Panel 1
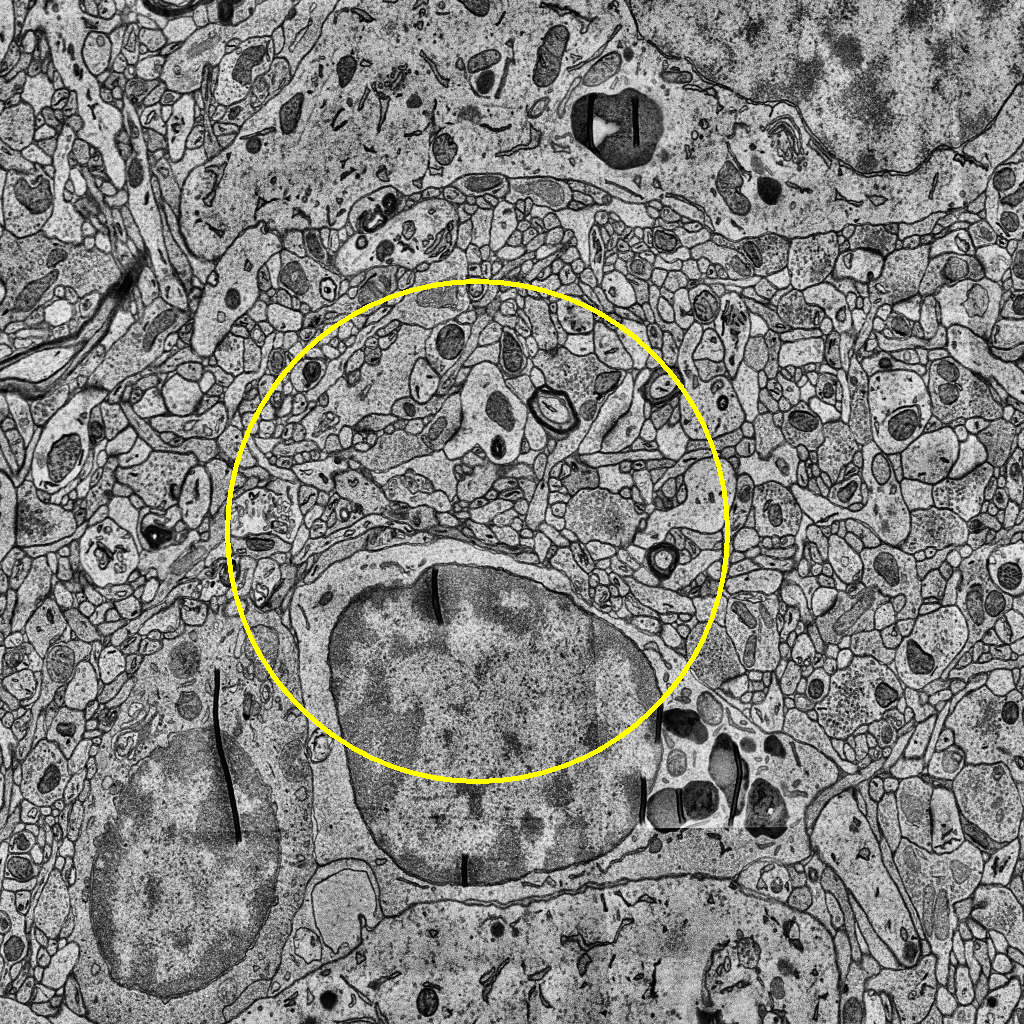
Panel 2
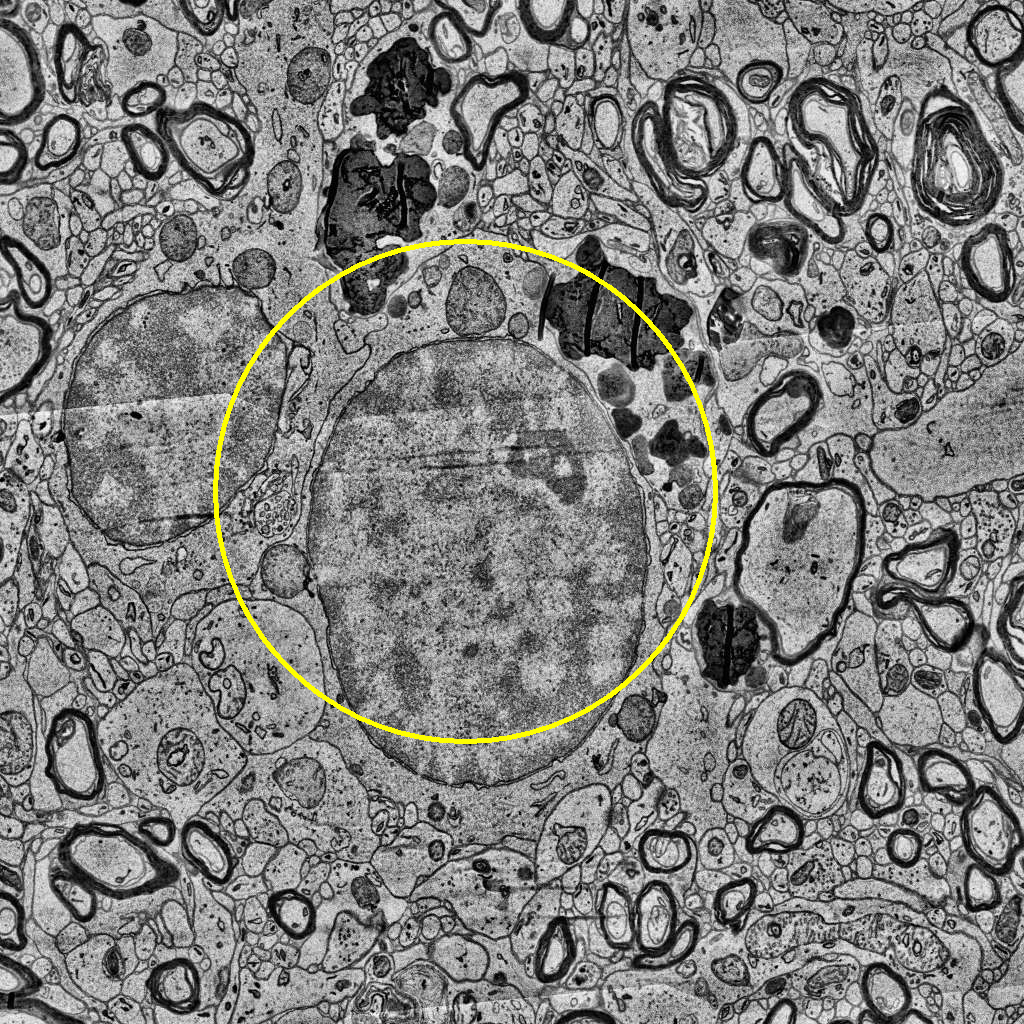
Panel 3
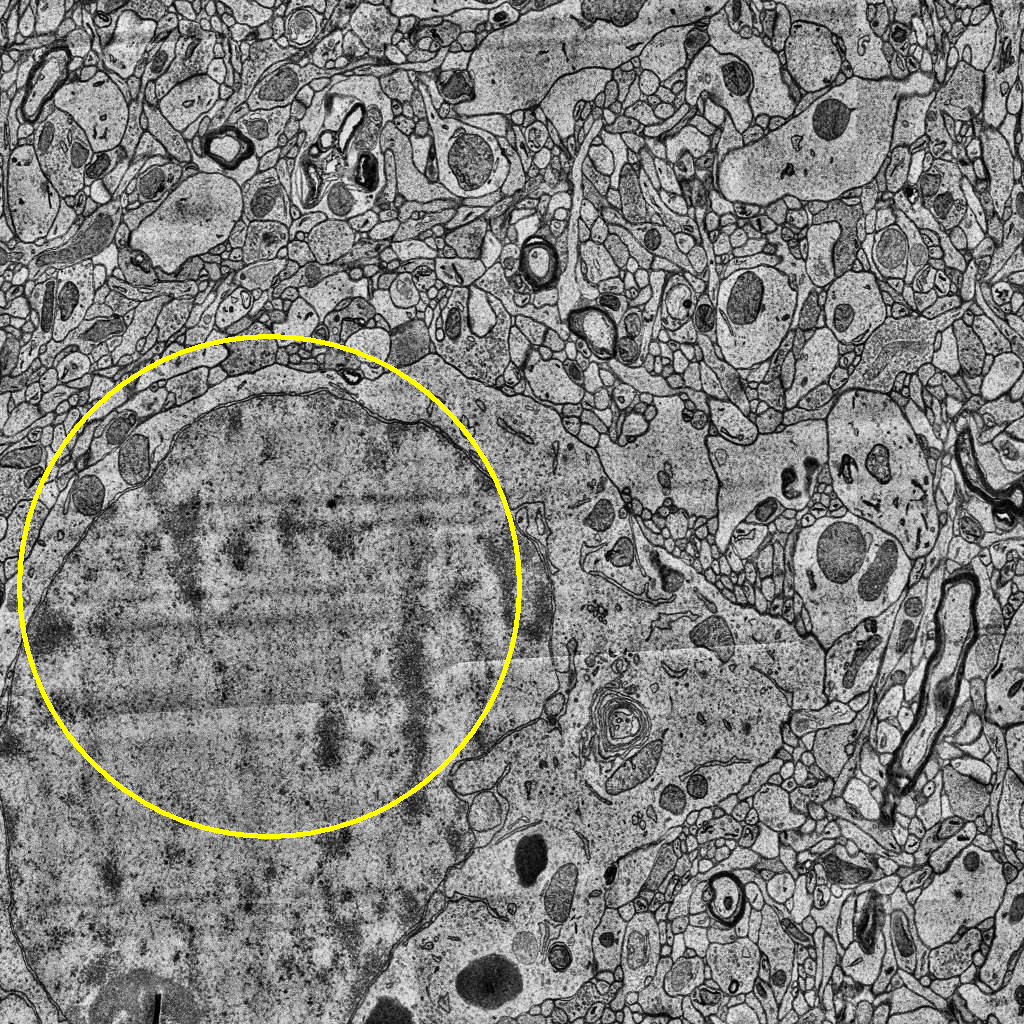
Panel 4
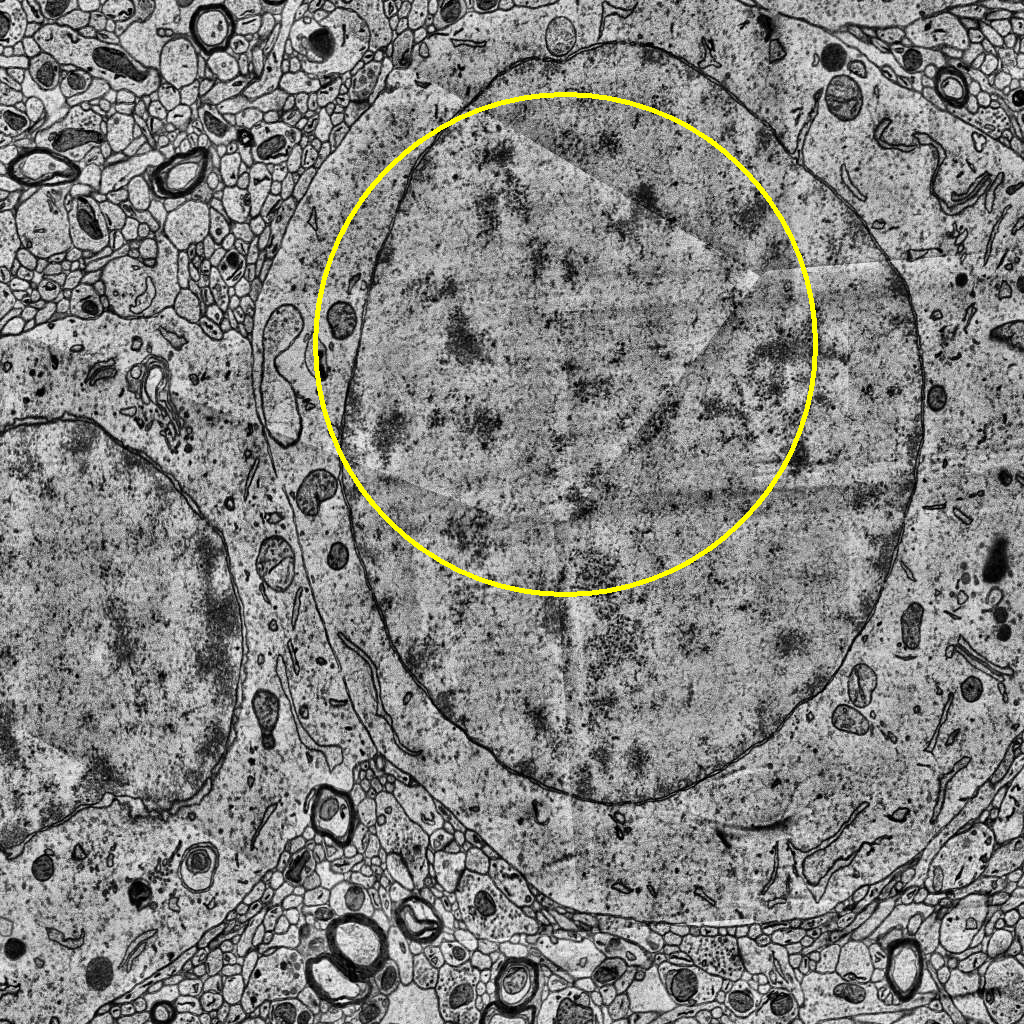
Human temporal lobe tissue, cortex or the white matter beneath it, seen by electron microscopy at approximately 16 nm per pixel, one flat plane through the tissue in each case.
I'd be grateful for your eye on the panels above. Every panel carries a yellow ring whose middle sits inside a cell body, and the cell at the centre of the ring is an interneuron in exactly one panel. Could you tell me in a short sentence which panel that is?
Panel 3 is the one with it at the centre of the ring.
